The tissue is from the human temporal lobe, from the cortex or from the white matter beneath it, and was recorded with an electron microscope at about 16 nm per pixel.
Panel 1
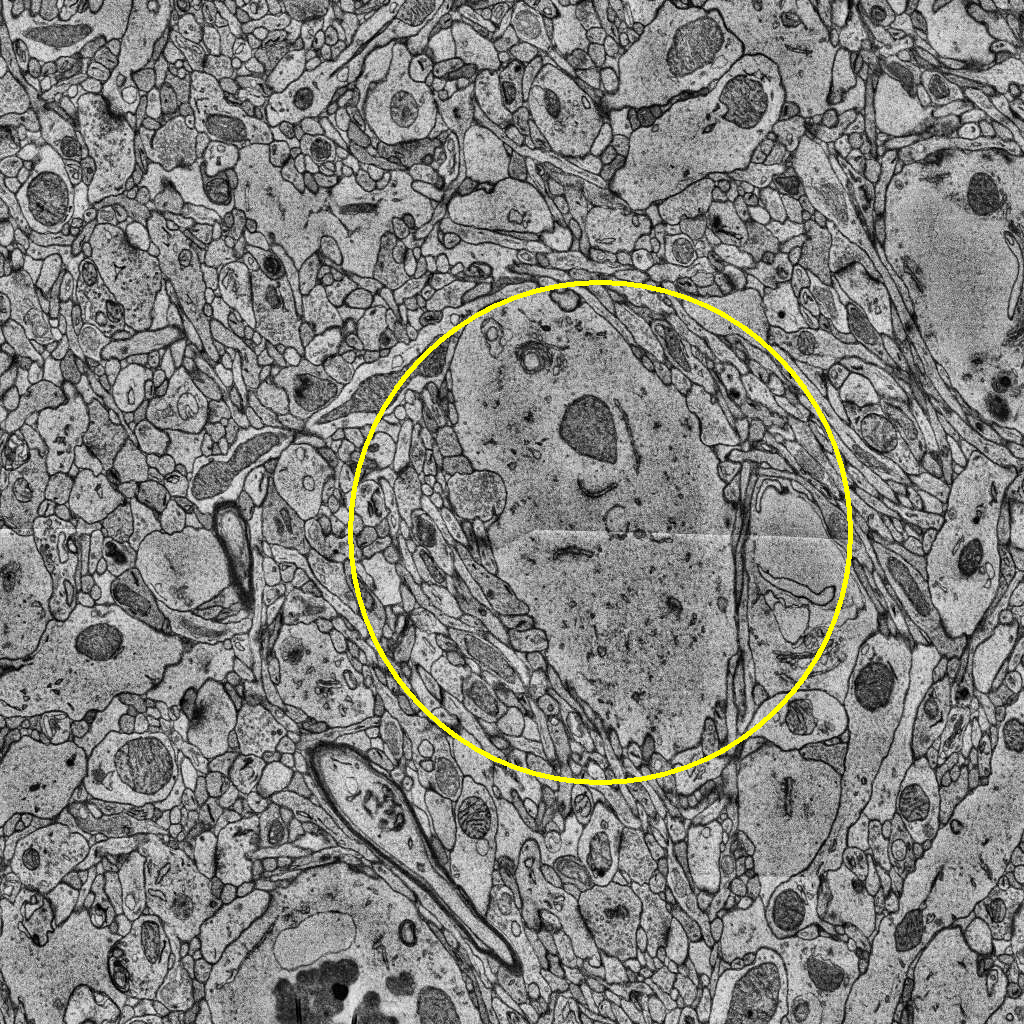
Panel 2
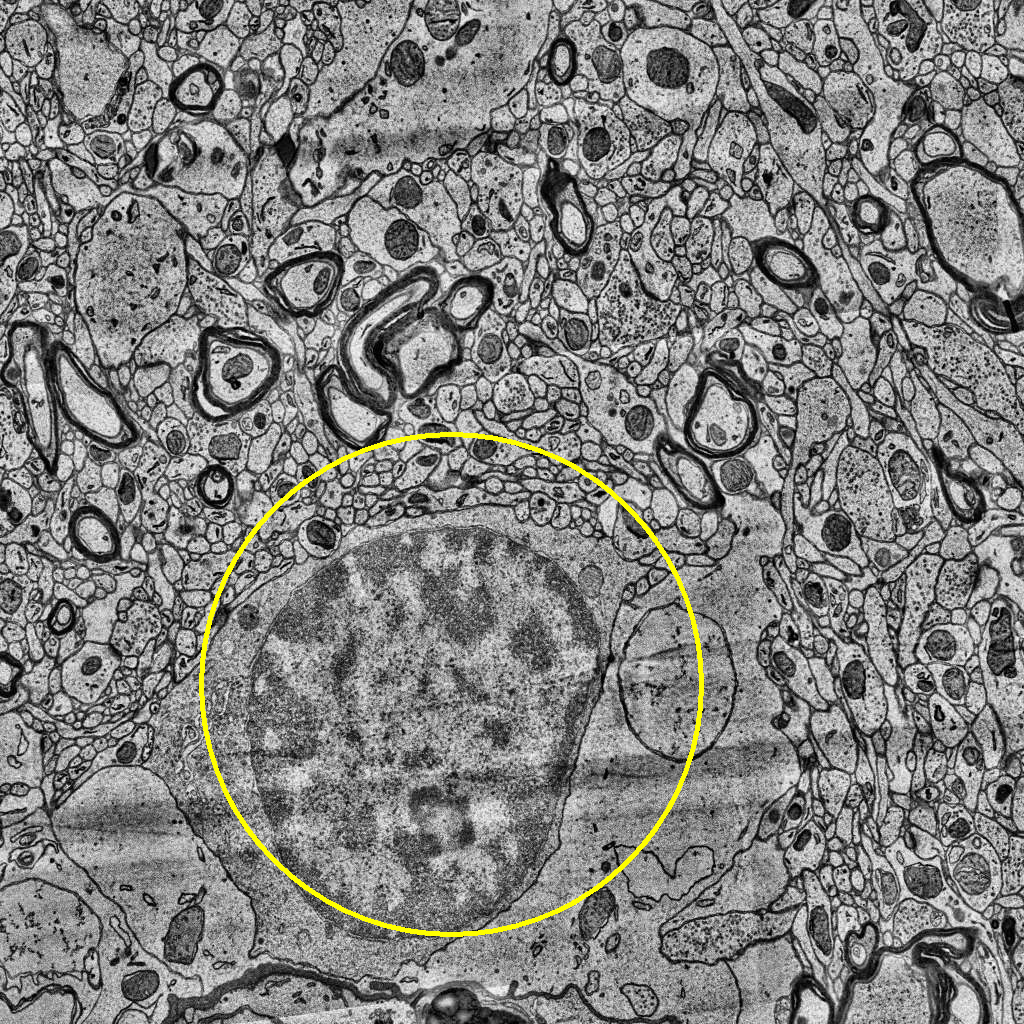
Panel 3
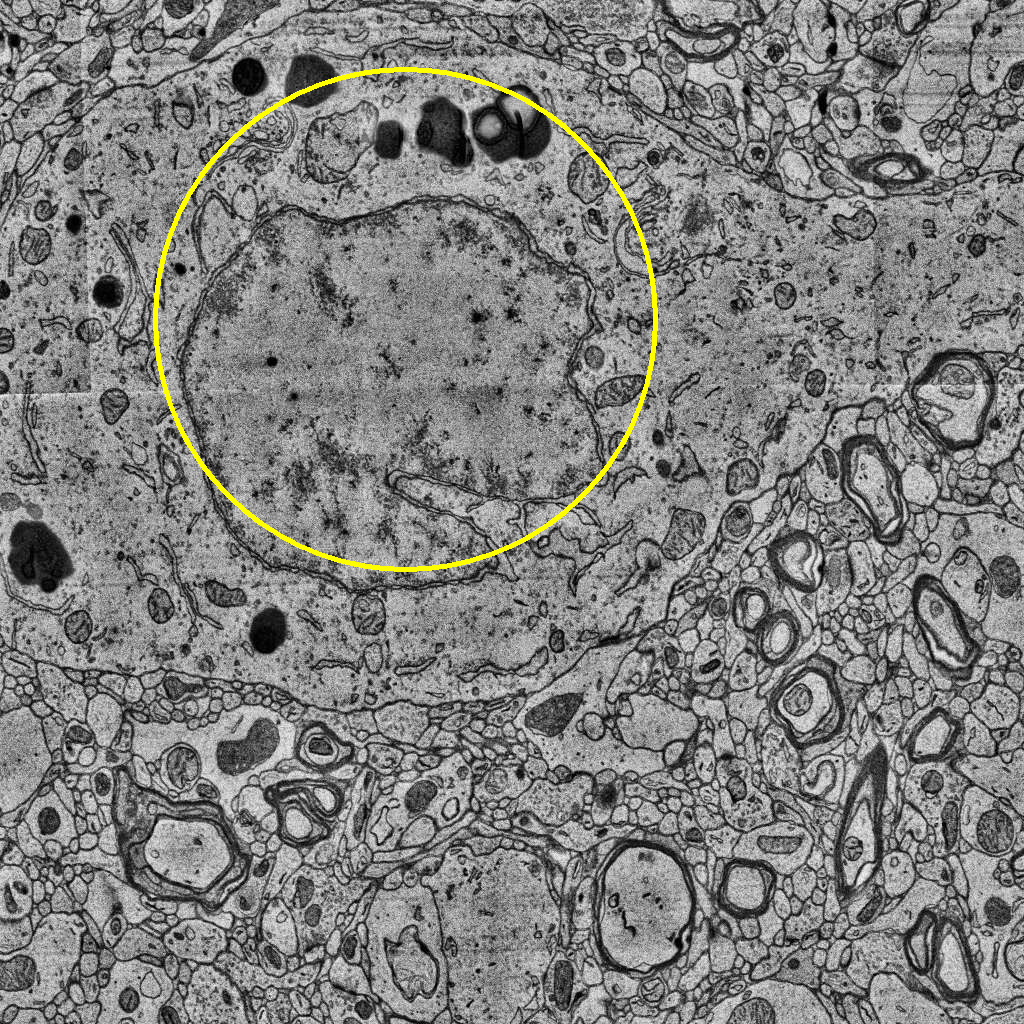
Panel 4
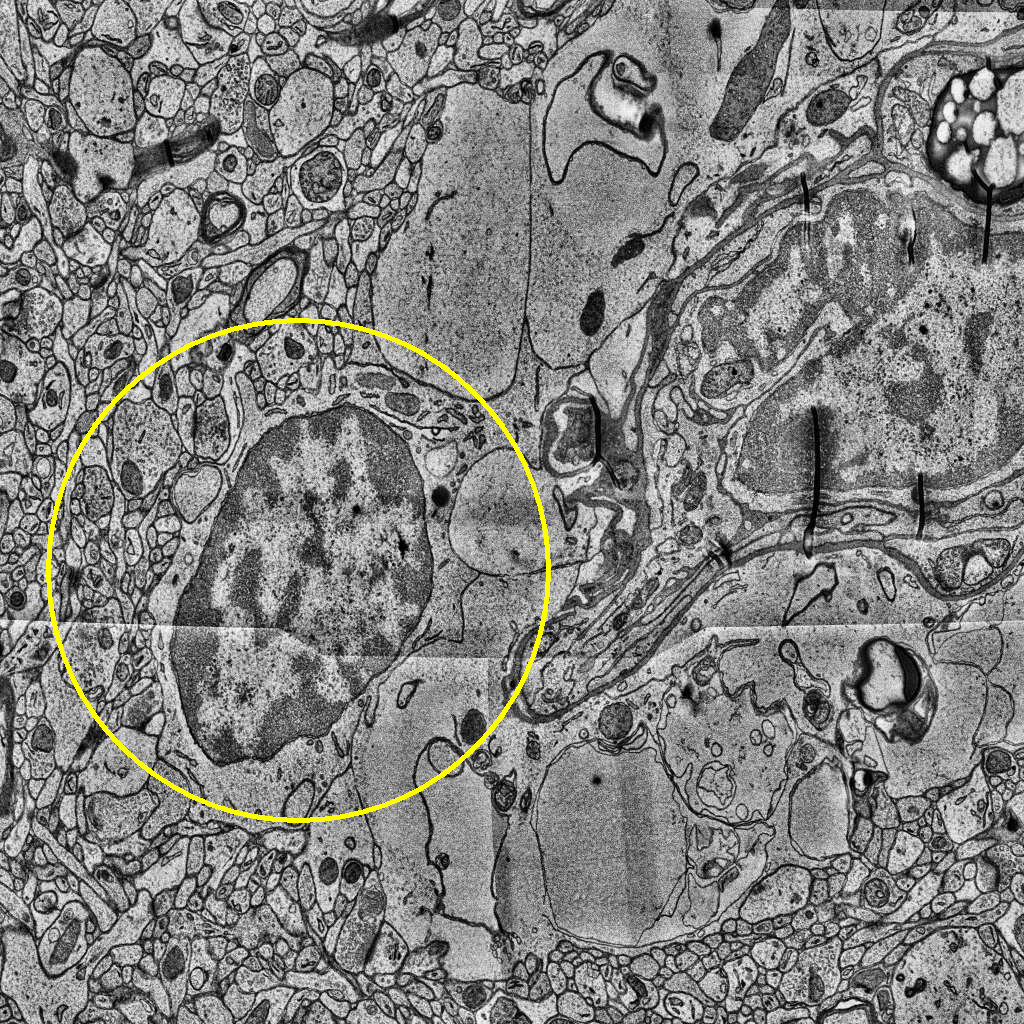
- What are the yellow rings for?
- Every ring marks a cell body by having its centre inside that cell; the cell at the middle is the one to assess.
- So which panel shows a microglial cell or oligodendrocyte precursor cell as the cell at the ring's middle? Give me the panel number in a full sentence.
The panel whose ring has its middle inside the cell in question is panel 4.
